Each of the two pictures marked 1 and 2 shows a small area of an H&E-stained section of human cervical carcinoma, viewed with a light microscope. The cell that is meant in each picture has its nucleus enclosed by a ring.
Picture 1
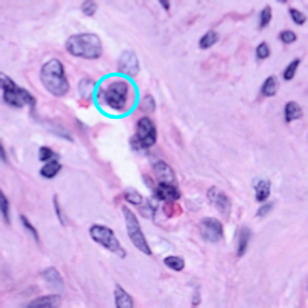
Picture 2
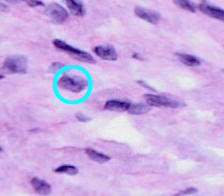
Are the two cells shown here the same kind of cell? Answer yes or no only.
no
